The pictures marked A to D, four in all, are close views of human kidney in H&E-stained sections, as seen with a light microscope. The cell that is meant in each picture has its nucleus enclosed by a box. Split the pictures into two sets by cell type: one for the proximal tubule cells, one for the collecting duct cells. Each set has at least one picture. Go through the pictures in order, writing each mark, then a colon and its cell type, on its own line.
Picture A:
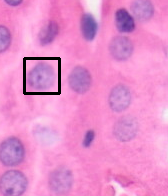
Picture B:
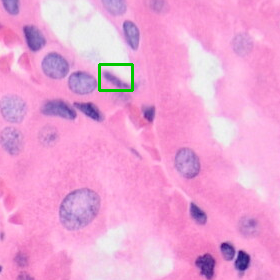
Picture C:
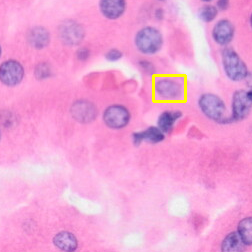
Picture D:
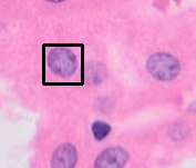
A: proximal tubule cell
B: collecting duct cell
C: collecting duct cell
D: proximal tubule cell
